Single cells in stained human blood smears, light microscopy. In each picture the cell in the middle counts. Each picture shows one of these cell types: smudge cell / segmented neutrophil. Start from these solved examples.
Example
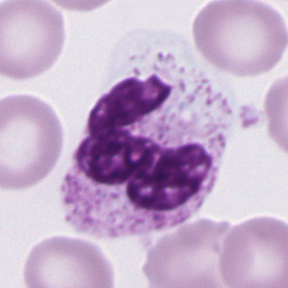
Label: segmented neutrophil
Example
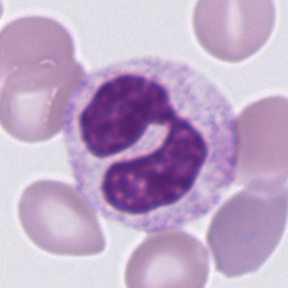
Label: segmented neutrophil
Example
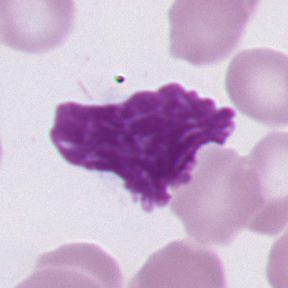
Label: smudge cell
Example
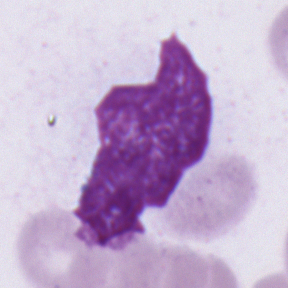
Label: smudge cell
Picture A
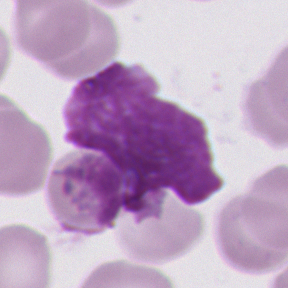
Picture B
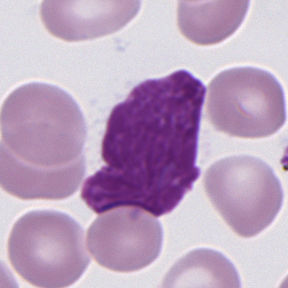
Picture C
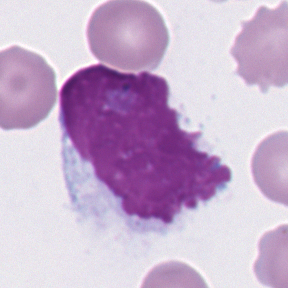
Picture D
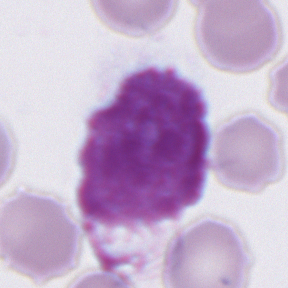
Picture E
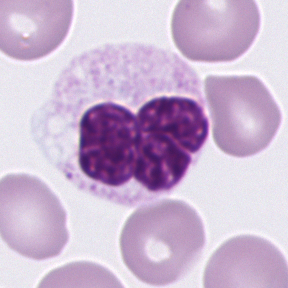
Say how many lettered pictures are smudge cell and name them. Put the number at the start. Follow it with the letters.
Count: 4 (A, B, C, D)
